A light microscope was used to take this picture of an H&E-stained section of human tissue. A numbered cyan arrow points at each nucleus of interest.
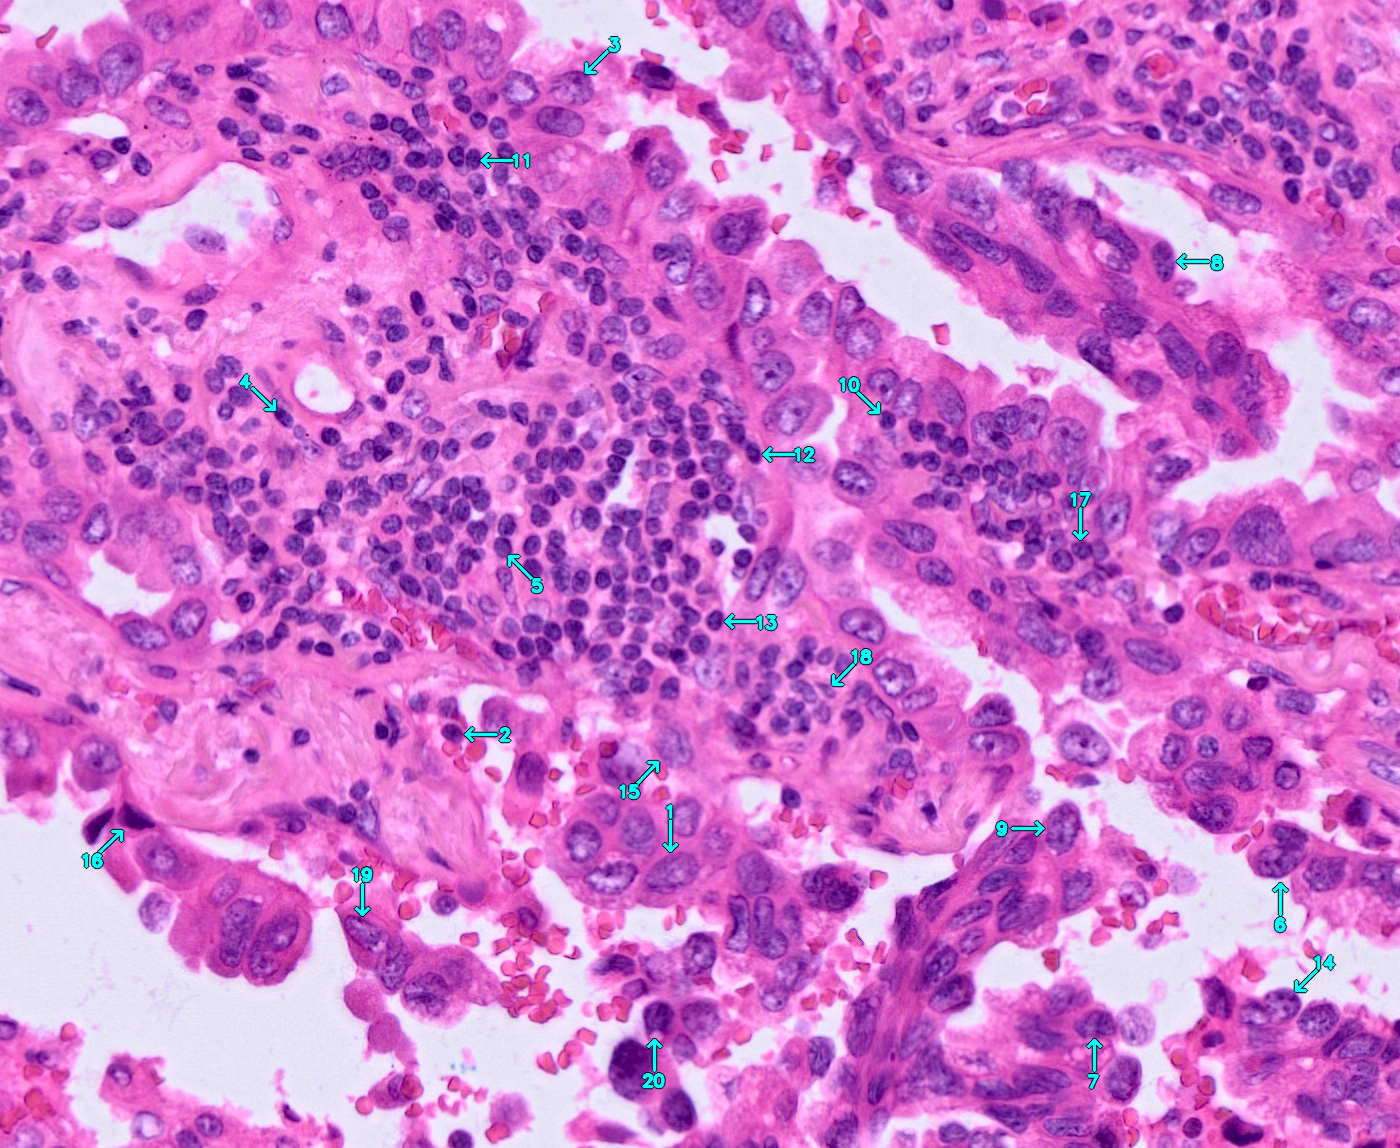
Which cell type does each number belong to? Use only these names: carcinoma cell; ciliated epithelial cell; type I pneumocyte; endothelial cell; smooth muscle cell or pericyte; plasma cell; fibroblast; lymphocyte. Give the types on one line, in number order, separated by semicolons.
carcinoma cell; lymphocyte; carcinoma cell; lymphocyte; lymphocyte; carcinoma cell; carcinoma cell; carcinoma cell; carcinoma cell; lymphocyte; lymphocyte; lymphocyte; lymphocyte; carcinoma cell; carcinoma cell; carcinoma cell; lymphocyte; lymphocyte; carcinoma cell; carcinoma cell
